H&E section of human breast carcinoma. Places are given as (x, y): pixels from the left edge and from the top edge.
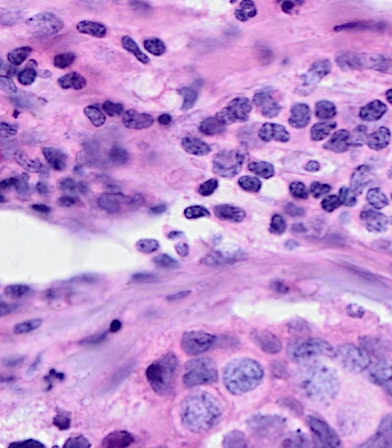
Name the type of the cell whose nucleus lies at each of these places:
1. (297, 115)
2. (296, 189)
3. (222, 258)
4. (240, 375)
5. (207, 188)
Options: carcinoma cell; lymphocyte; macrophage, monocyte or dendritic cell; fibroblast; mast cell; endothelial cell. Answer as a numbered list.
1. lymphocyte
2. lymphocyte
3. fibroblast
4. carcinoma cell
5. lymphocyte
